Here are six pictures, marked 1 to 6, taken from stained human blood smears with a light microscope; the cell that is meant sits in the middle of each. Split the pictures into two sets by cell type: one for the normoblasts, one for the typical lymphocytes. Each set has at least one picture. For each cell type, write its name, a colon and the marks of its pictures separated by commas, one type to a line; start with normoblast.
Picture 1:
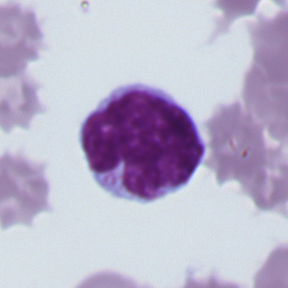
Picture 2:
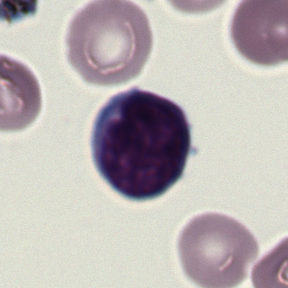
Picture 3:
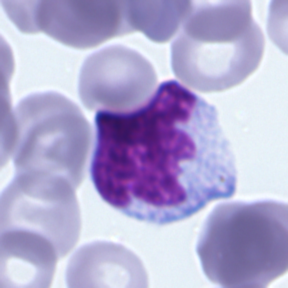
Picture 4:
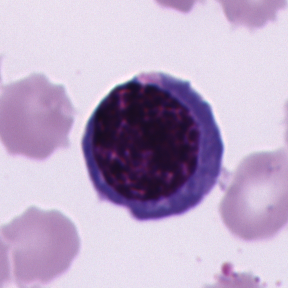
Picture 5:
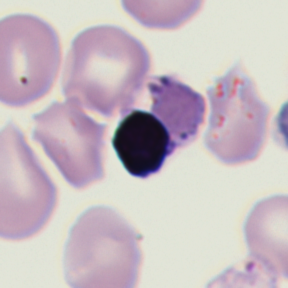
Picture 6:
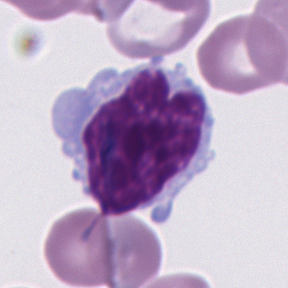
normoblast: 4, 5
typical lymphocyte: 1, 2, 3, 6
